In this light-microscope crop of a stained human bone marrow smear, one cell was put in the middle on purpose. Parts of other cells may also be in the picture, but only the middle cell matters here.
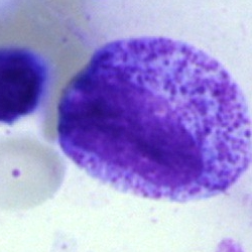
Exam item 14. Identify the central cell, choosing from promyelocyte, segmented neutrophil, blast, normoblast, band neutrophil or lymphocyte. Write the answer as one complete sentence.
The centrally positioned cell in the crop represents a promyelocyte.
